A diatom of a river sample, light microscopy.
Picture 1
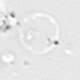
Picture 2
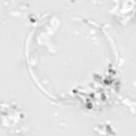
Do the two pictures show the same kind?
Yes, both are Thalassiosira.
